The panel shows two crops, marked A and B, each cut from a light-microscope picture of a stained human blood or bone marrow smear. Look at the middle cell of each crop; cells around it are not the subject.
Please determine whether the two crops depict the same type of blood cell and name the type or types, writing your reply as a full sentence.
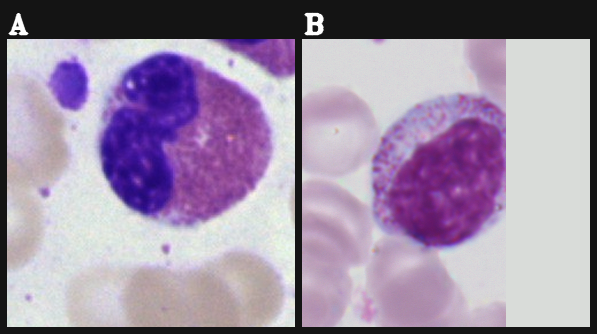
No, cell A is an eosinophil, and cell B is a metamyelocyte.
